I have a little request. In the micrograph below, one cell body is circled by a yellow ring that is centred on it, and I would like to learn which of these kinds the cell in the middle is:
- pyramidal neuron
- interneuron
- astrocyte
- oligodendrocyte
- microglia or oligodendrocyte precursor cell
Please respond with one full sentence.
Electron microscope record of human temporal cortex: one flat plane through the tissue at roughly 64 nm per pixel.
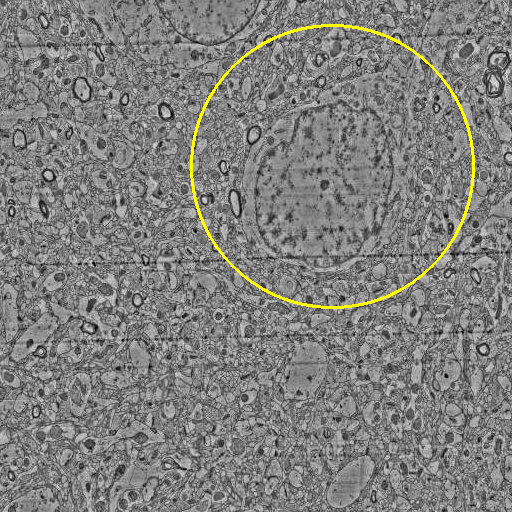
The cell sitting in the middle of the yellow ring in the micrograph is an interneuron.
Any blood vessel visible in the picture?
No.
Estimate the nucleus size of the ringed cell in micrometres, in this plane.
Approximately 11 by 9 micrometers in this plane.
